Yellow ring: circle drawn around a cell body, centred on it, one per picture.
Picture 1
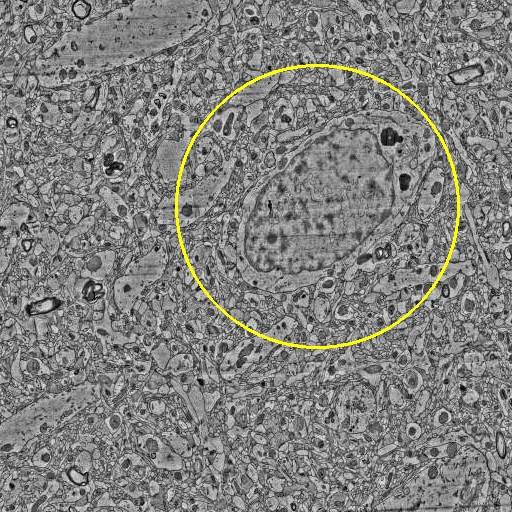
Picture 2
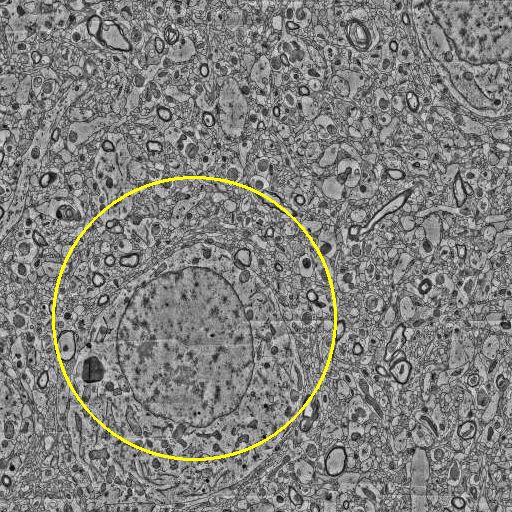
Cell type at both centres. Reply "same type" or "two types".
same type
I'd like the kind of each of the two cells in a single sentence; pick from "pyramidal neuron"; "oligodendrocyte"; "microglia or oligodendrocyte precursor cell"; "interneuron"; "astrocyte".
Each of the two cells is an interneuron.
